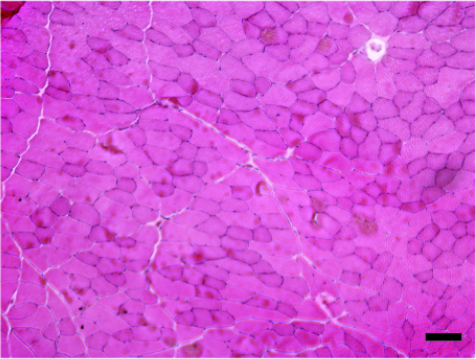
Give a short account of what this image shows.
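This is skeletal muscle in cross section, made of tightly packed polygonal muscle fibers with pink cytoplasm. Dark nuclei lie at the fiber edges, and thin pale connective tissue septa run between the fibers.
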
